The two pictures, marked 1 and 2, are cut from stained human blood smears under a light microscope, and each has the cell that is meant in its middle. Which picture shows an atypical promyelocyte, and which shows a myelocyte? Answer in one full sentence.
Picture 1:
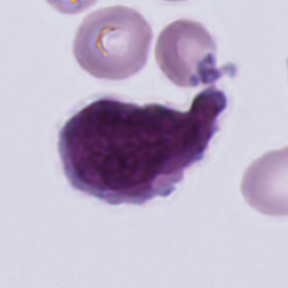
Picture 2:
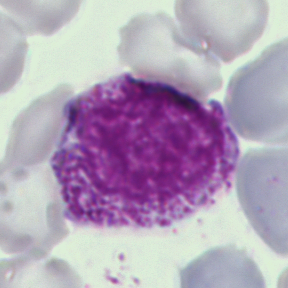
In picture 1 the cell is an atypical promyelocyte; in picture 2, a myelocyte.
